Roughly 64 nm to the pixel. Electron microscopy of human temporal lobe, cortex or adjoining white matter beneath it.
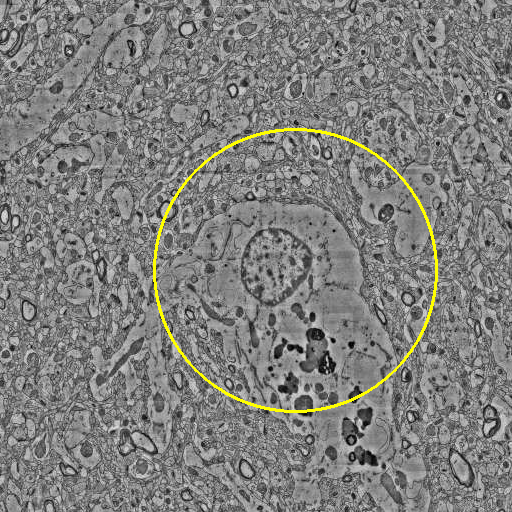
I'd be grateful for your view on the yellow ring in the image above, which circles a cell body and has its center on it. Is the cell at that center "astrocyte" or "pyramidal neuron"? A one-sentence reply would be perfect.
The cell at the center of the yellow ring is an astrocyte.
